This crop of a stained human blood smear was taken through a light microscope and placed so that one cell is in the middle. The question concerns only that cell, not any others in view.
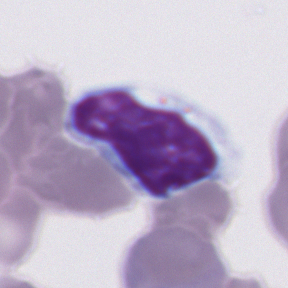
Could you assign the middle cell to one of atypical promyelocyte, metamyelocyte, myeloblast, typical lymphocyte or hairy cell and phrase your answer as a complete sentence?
The cell under consideration, at the middle of the crop, is a typical lymphocyte.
